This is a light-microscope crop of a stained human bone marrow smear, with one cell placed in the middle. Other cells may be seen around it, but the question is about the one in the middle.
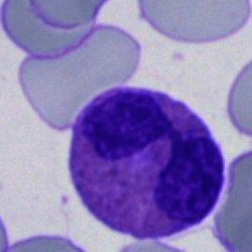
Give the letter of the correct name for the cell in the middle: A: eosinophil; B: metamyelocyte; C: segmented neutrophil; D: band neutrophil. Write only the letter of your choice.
A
